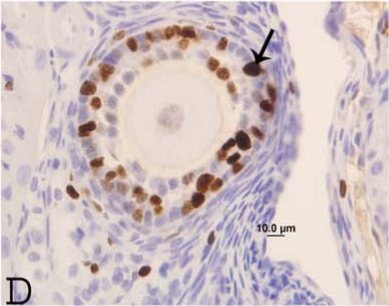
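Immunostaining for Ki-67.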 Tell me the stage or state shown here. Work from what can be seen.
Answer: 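Growth follicle. An oocyte surrounded by about two layers of cuboidal cells. No cavity among the surrounding cells. A thin rim of flattened cells encircles the follicle.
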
